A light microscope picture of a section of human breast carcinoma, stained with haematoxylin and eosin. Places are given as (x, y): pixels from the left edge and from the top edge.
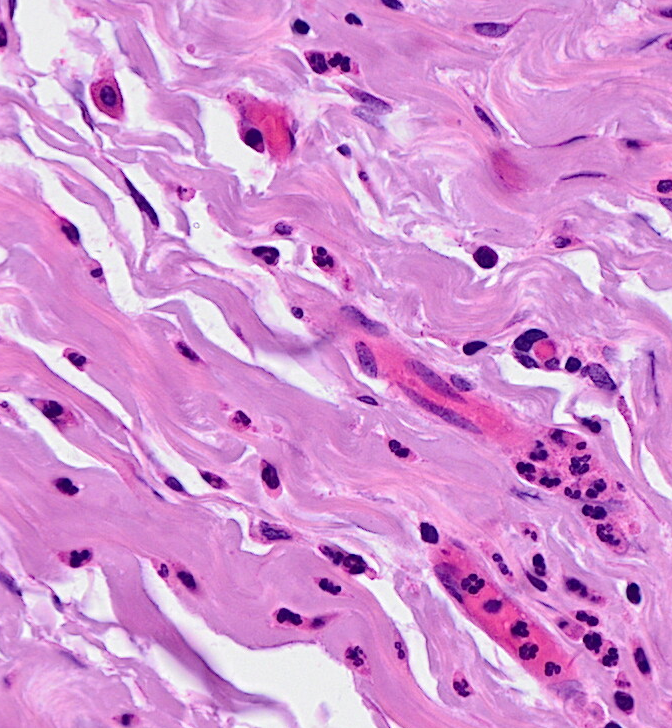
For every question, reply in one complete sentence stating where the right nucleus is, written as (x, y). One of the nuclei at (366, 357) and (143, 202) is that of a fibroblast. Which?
That would be the nucleus at (143, 202); it belongs to a fibroblast.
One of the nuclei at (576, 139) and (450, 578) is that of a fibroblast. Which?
The nucleus lying at (576, 139) is the nucleus of a fibroblast.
